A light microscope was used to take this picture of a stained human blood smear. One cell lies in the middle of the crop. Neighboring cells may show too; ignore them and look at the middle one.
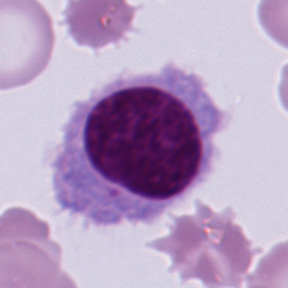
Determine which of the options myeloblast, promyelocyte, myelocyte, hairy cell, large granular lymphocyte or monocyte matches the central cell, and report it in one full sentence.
Standing at the centre of this crop is a hairy cell.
